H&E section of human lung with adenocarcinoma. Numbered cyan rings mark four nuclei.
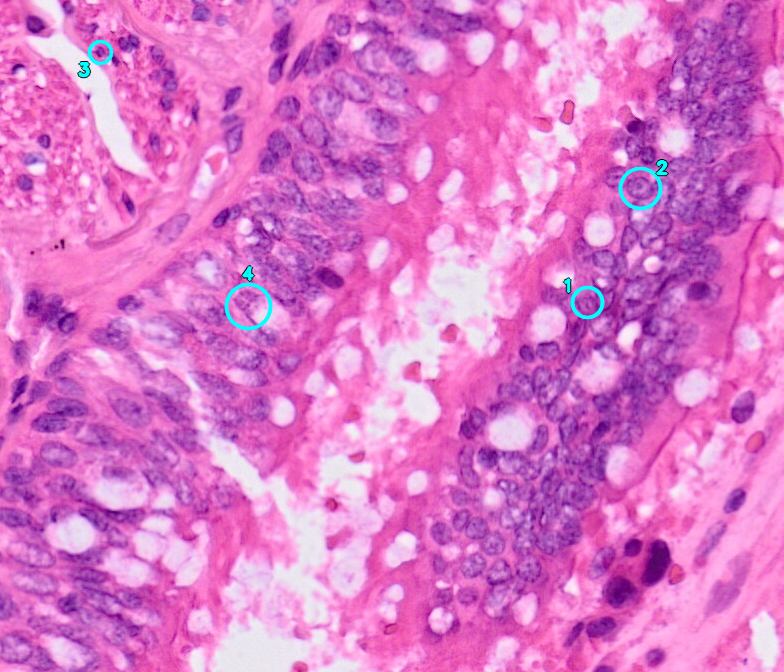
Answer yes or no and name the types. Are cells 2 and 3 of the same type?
No, cell 2 should be called a ciliated epithelial cell, and cell 3 should be called a smooth muscle cell or pericyte.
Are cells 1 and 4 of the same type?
Yes: cells 1 and 4 are both ciliated epithelial cells.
